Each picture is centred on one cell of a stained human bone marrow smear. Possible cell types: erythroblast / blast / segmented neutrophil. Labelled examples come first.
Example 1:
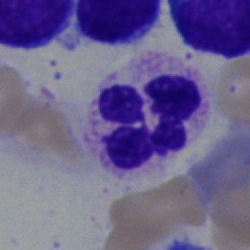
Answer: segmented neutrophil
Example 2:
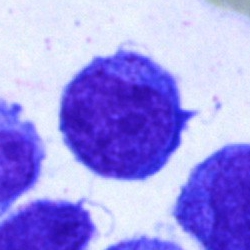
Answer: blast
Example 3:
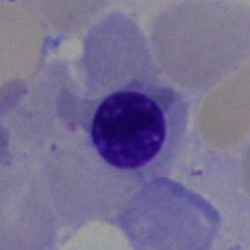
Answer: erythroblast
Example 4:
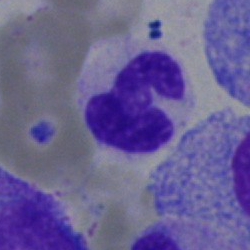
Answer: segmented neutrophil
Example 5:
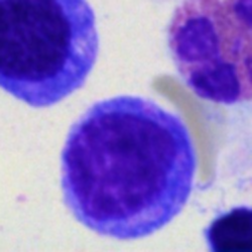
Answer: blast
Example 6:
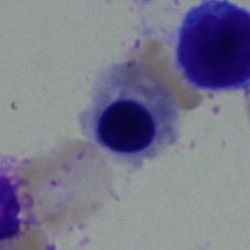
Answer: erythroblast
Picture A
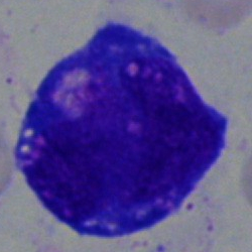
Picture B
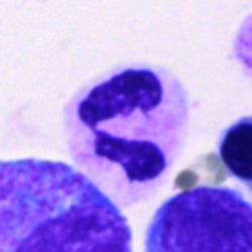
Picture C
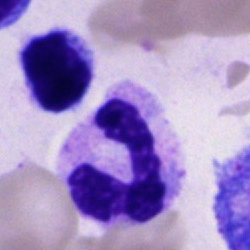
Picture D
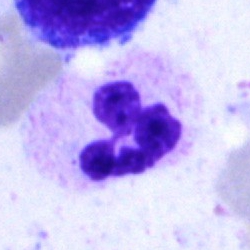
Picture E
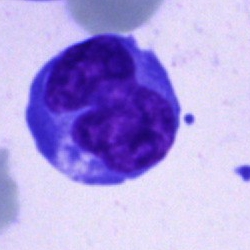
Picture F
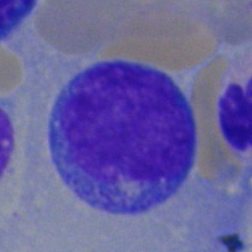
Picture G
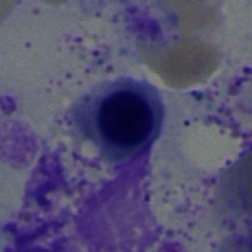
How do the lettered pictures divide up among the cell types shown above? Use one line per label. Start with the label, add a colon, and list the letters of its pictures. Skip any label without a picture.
erythroblast: G
blast: A, E, F
segmented neutrophil: B, C, D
